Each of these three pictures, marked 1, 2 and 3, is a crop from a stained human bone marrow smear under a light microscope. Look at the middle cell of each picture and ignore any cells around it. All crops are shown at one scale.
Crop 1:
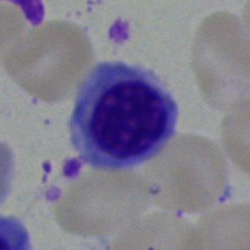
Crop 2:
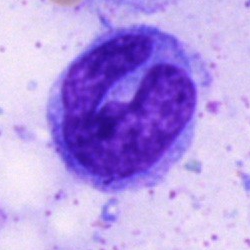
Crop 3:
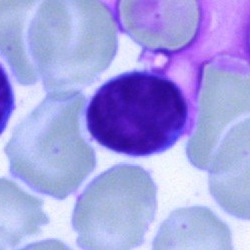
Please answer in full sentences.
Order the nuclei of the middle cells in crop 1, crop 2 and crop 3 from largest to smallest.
The order is 2, 3, 1, beginning with the largest.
